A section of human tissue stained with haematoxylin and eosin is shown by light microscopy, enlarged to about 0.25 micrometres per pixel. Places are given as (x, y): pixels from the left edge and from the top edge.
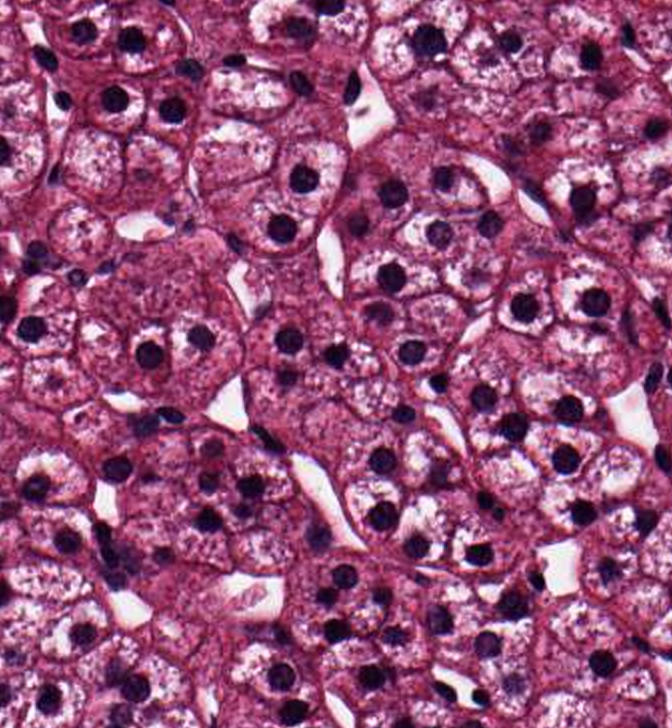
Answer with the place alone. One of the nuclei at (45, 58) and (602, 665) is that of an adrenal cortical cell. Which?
(602, 665)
